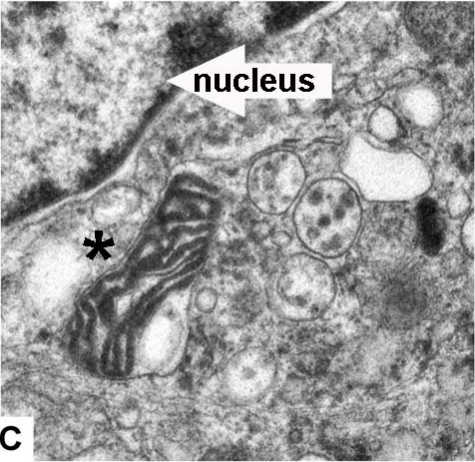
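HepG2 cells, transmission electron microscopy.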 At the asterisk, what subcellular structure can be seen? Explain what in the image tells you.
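Autophagic vacuoles containing a mitochondrion. An elongated organelle with dense parallel cristae lies next to the asterisk. It is enclosed within a surrounding membrane-bound space.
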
